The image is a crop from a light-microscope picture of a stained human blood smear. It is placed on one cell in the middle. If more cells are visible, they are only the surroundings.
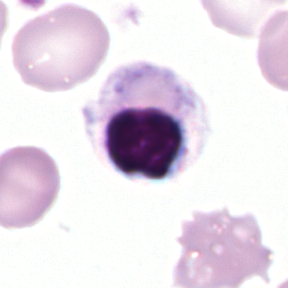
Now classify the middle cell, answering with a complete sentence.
In the centre of this crop there is a normoblast.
